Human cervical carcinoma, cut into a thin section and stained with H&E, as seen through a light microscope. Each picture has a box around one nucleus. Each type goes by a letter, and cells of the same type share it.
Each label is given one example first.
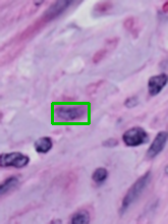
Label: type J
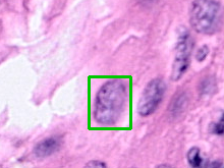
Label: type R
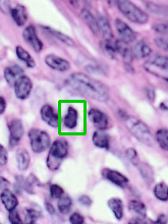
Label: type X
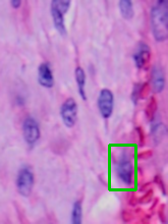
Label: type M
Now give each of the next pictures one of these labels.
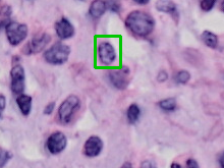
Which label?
type X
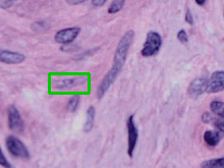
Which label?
type J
